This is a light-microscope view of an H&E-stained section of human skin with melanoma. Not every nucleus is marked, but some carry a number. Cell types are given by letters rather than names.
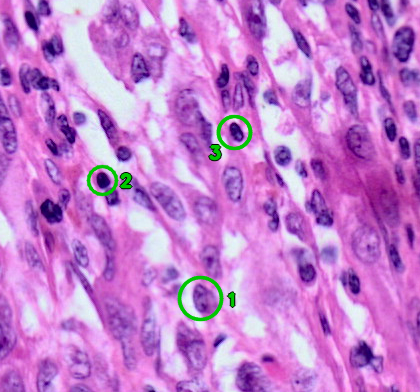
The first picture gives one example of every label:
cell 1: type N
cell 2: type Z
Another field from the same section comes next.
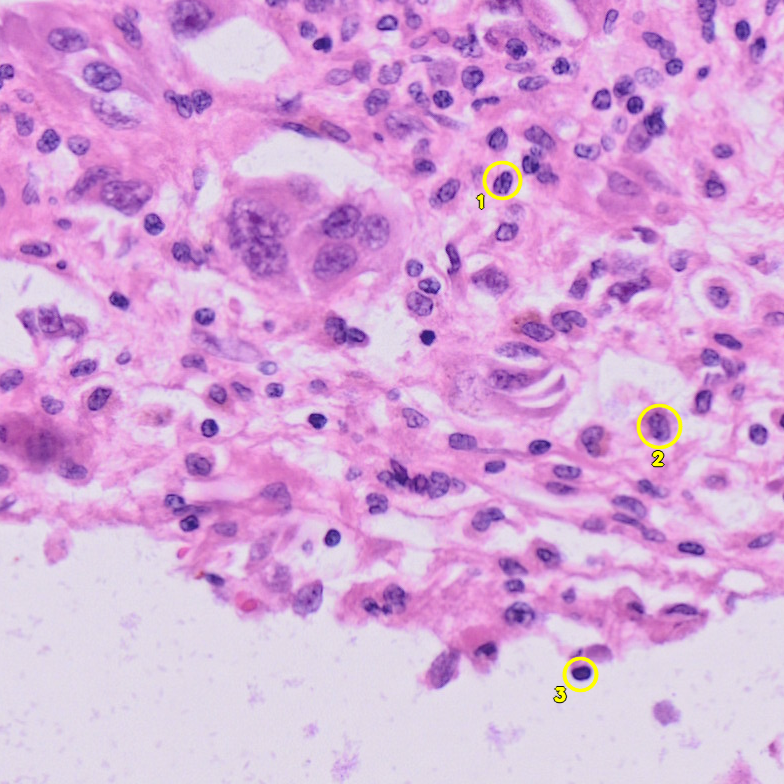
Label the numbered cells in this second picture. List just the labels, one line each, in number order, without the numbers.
type Z
type N
type Z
